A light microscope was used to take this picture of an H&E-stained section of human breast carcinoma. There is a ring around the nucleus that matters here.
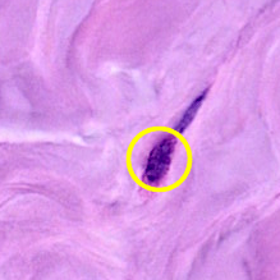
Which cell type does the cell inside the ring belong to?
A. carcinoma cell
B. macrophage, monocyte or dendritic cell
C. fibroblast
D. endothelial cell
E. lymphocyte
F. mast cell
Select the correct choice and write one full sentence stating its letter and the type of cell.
Option F is the one to take: the cell inside the ring is a mast cell.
